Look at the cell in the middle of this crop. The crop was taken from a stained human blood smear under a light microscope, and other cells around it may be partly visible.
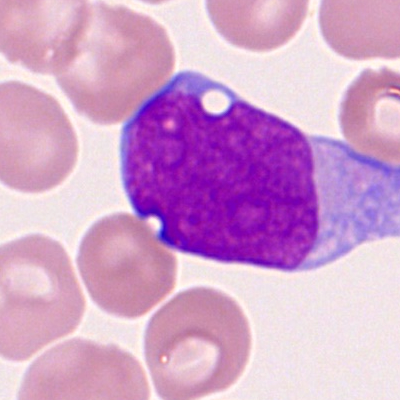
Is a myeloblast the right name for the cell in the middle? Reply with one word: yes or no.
yes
